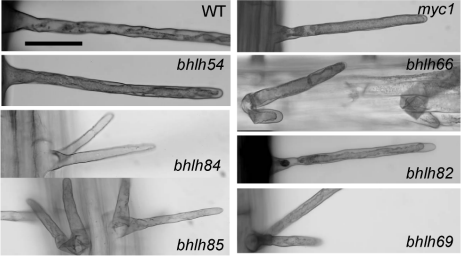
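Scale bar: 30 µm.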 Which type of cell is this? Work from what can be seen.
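Long, narrow tubular outgrowths extend from a broader cell surface at one end. The outgrowths have rounded, closed tips. Some outgrowths split into two arms near their base.
Conclusion: root hairs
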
